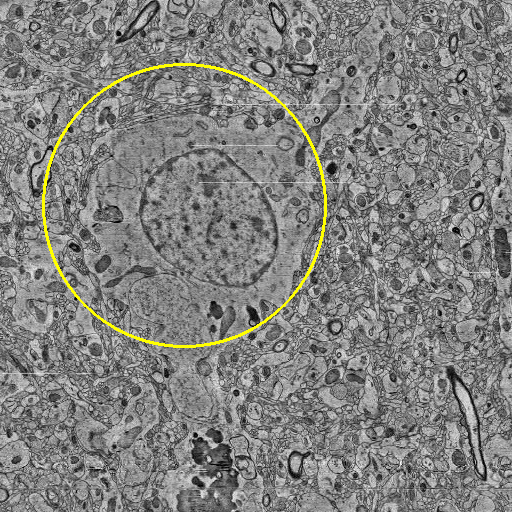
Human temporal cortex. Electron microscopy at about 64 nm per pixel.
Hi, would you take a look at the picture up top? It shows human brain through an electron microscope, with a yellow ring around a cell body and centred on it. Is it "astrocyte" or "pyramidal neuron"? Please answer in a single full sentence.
The best fit for the cell in the middle of the ring is an astrocyte, I reckon.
